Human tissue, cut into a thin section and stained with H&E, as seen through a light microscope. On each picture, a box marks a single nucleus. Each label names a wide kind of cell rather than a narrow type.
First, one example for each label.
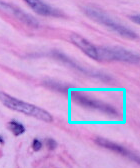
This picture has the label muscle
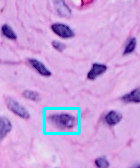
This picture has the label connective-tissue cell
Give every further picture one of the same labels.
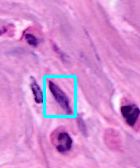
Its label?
connective-tissue cell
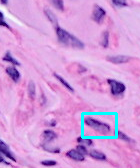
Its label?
muscle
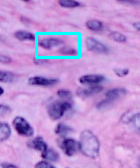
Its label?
muscle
